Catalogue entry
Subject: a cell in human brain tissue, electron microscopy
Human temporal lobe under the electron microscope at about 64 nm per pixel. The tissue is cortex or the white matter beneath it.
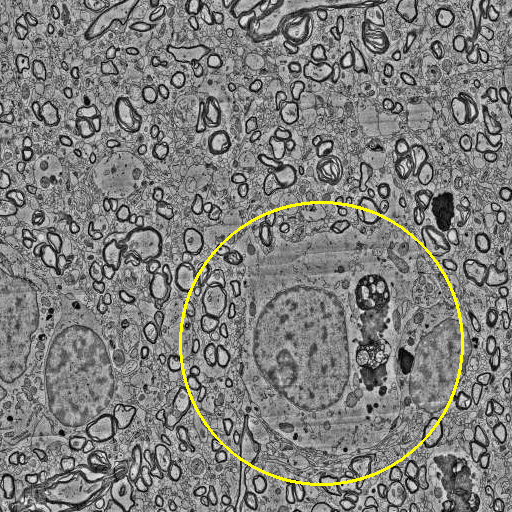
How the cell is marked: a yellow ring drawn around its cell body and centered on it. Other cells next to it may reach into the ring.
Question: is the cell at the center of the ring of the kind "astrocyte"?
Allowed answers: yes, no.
yes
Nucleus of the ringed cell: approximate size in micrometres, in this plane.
Approximately 8 x 6 micrometres in this plane.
